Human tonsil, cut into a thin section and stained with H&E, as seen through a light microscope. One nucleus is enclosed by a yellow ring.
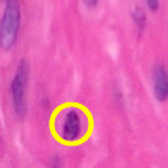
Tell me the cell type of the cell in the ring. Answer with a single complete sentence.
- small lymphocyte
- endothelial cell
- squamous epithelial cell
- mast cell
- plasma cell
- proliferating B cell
In cell-type terms, the cell in the ring is a mast cell.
